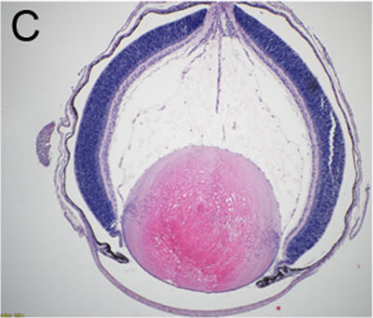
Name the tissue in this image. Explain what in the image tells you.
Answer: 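A round globe bounded by thin outer coats. A large pink-staining spherical lens sits in the front part. A thick purple cell layer lines the back of the globe.
Eye.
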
